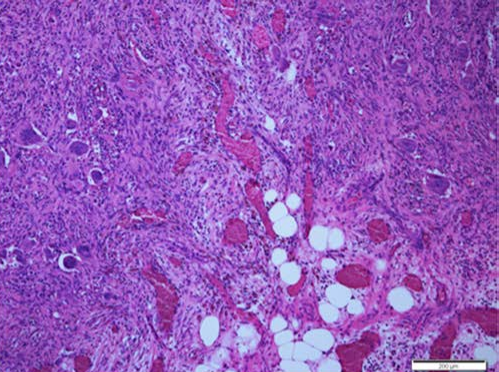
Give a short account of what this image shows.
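This is a densely cellular lesion made of spindle-shaped cells with elongated dark nuclei set in bundles that run in different directions through pink stroma. Small vessels containing red blood cells course through the spindle cell tissue. Toward the lower centre lies a cluster of round empty fat vacuoles. Together this reads as proliferating blood vessels mixed with a fibroblastic spindle cell proliferation and scattered giant cells.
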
